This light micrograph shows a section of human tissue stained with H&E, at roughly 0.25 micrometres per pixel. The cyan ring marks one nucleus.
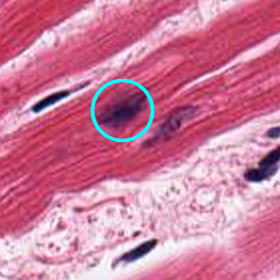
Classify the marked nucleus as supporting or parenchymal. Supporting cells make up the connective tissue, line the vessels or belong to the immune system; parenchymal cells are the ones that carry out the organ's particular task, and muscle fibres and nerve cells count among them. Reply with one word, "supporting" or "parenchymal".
parenchymal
